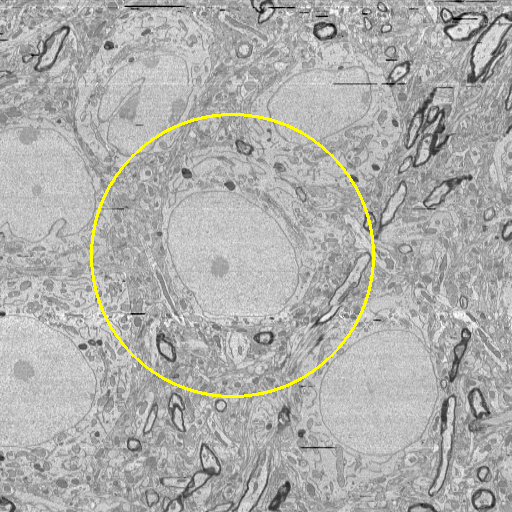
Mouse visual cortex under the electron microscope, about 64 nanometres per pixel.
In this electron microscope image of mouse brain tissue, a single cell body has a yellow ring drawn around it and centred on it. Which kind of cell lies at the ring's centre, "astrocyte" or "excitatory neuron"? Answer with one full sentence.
It is an excitatory neuron whose cell body lies at the centre of the yellow ring here.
